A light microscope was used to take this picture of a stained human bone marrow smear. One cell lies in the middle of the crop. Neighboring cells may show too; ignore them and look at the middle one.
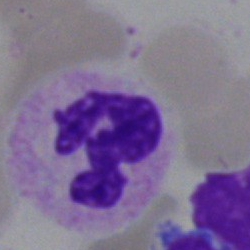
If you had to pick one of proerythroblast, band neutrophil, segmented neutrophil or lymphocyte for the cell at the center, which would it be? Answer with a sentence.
The middle of this crop holds a segmented neutrophil.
